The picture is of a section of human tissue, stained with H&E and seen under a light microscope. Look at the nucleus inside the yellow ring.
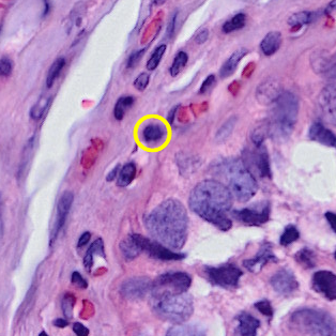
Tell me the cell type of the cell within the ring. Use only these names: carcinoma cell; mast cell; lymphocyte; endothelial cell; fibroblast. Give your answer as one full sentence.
The cell within the ring appears to be a mast cell.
